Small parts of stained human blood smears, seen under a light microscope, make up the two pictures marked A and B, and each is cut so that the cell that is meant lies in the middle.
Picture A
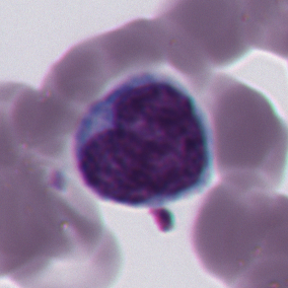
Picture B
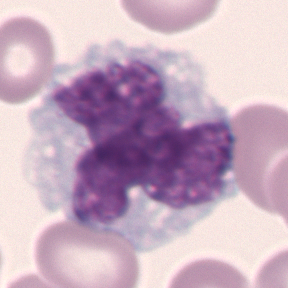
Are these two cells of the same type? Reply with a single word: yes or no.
yes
